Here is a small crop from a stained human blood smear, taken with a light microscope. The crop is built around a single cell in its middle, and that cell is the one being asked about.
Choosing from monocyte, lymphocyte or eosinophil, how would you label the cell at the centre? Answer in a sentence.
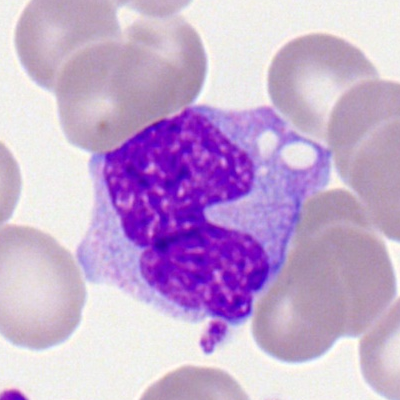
The cell at the centre of the field is a monocyte.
